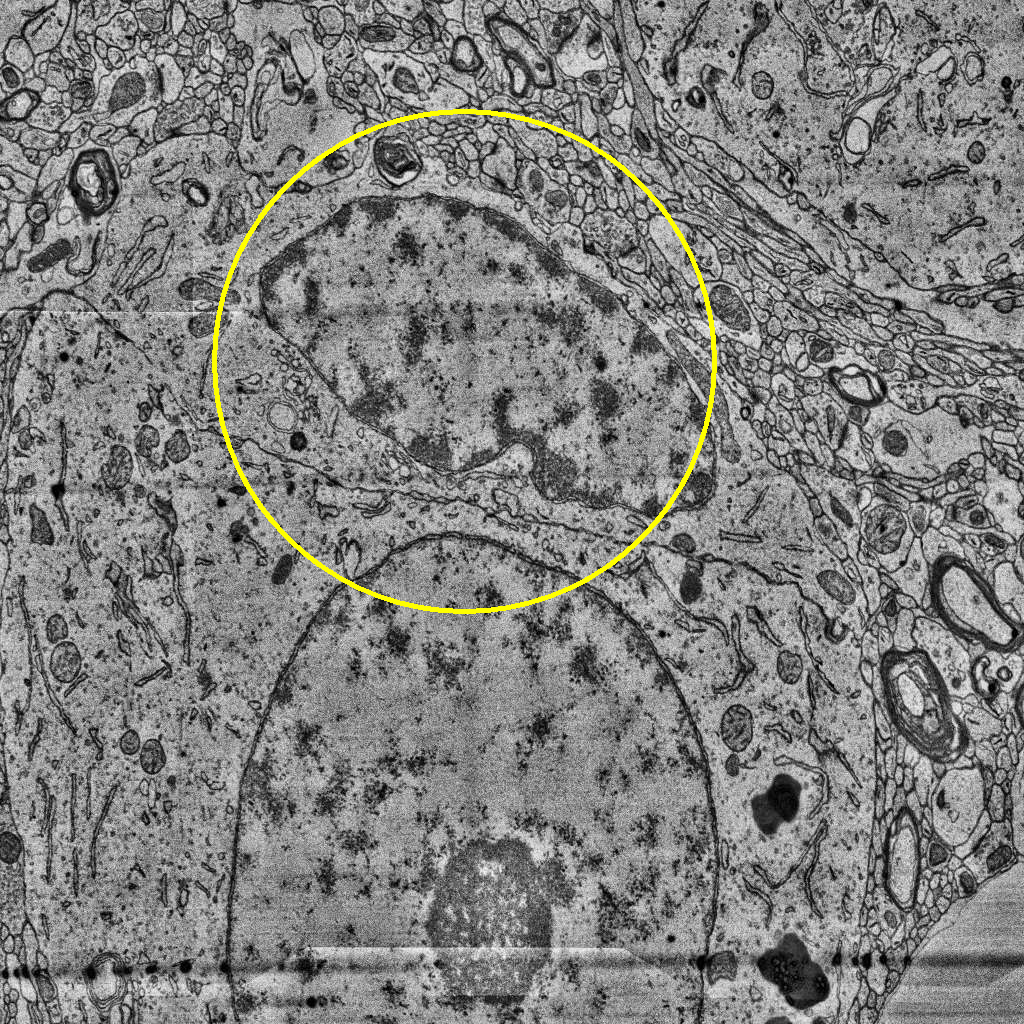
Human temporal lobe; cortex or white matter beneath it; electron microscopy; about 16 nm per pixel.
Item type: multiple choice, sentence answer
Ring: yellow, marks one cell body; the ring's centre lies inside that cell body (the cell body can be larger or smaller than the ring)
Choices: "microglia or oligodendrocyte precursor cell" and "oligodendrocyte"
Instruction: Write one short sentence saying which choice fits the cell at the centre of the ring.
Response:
The centre of this ring lies on a microglial cell or oligodendrocyte precursor cell.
